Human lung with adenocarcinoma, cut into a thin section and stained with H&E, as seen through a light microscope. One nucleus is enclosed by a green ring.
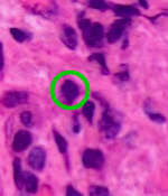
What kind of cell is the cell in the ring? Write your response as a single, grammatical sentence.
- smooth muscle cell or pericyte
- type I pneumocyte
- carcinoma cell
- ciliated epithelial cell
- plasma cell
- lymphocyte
With respect to cell type, the cell in the ring is a plasma cell.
